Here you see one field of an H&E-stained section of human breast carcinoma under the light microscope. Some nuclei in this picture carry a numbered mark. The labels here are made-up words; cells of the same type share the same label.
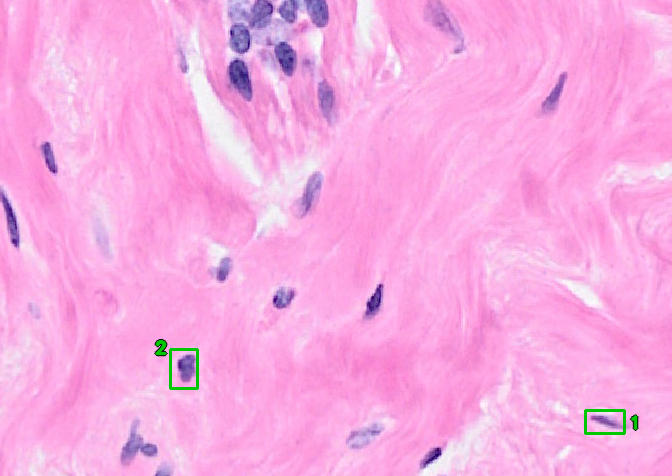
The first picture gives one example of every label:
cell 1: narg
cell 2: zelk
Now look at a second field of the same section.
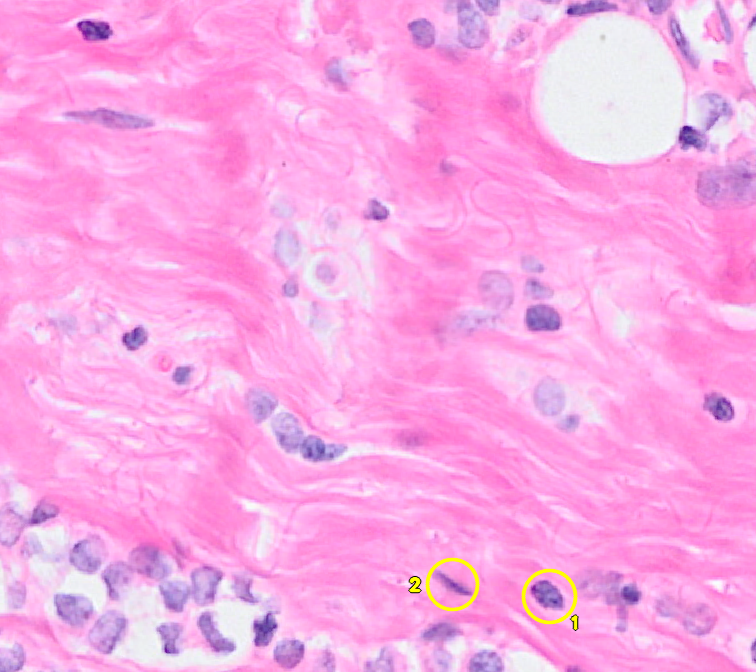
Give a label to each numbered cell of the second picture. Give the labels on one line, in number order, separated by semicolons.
zelk; narg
